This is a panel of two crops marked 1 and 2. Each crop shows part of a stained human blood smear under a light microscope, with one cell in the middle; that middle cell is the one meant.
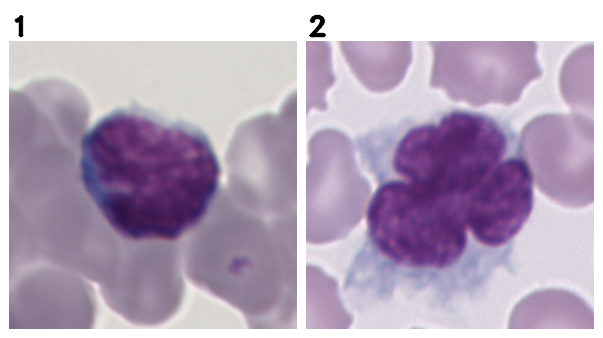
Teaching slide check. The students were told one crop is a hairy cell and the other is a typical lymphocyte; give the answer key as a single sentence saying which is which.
It is a typical lymphocyte that crop 1 shows, and a hairy cell that crop 2 shows.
